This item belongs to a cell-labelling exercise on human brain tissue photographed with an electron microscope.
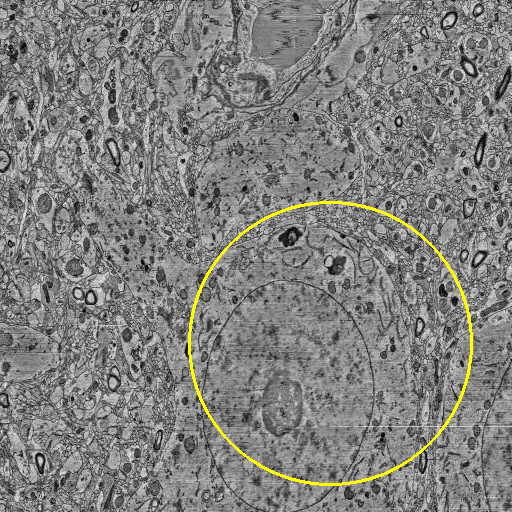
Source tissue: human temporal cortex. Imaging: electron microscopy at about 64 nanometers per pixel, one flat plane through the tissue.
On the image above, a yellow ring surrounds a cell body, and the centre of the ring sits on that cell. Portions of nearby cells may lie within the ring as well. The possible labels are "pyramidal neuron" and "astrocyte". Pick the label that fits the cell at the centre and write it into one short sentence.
This cell should be labelled as a pyramidal neuron.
